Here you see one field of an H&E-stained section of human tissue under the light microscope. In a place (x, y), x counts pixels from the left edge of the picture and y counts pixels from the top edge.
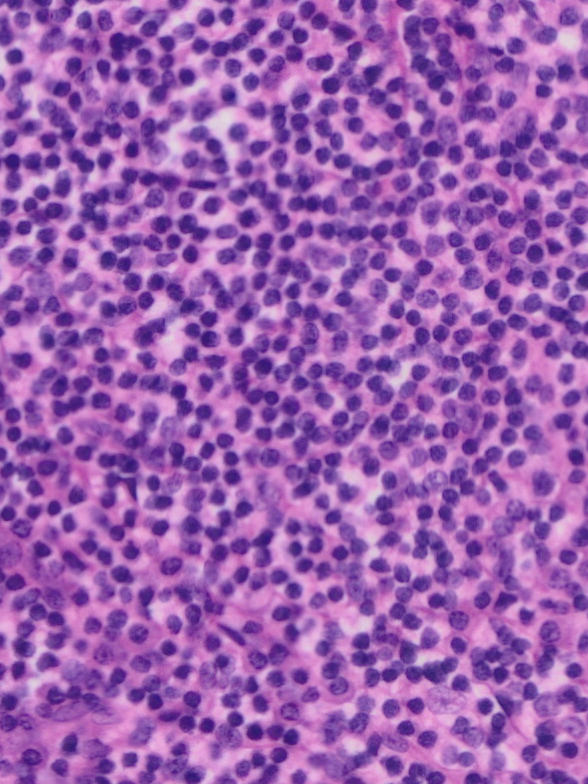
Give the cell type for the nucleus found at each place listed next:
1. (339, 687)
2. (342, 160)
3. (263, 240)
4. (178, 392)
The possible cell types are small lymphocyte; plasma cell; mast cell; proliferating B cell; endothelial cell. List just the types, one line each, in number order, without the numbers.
plasma cell
small lymphocyte
small lymphocyte
small lymphocyte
